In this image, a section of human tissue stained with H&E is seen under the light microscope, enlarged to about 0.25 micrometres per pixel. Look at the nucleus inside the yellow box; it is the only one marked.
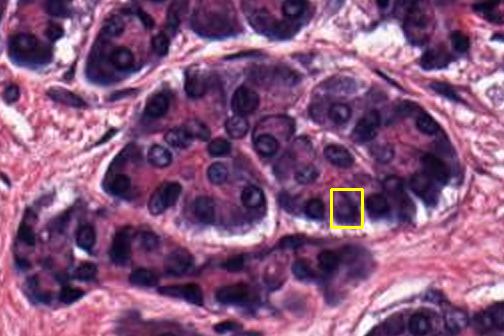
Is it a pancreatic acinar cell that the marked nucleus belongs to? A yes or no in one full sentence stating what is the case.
Yes, in the picture the marked nucleus belongs to a pancreatic acinar cell.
